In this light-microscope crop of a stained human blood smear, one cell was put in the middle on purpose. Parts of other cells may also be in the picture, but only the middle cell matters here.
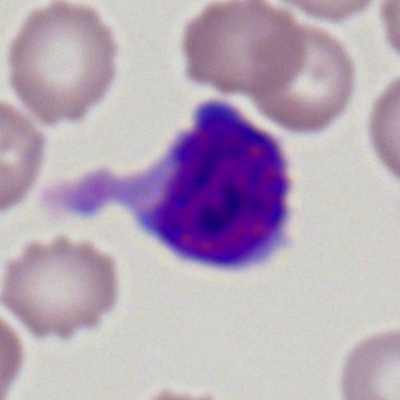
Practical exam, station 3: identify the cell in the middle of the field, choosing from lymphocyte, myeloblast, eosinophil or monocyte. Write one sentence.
At the center of the crop sits a lymphocyte.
